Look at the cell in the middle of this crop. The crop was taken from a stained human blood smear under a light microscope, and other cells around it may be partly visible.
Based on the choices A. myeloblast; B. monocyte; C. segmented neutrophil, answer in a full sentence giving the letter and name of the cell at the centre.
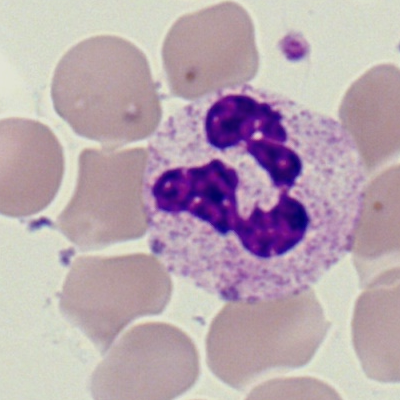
The one to choose is option C, as the cell in the middle is a segmented neutrophil.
